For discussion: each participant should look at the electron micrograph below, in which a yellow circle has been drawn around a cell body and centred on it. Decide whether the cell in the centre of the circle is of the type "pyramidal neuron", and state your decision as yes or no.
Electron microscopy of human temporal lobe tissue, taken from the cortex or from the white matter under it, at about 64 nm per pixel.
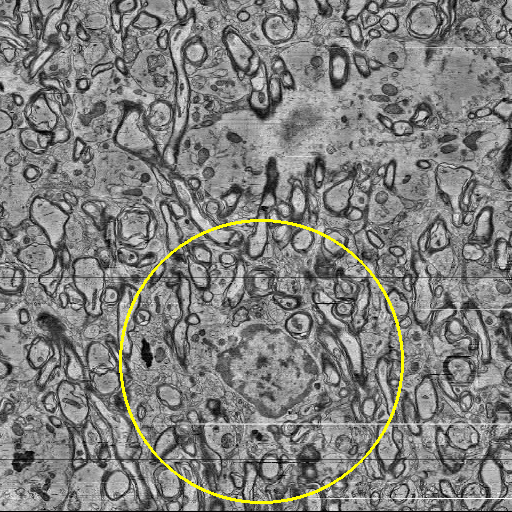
no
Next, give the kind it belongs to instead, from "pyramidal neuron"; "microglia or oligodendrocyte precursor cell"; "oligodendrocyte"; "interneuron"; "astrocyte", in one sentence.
This picture has a microglial cell or oligodendrocyte precursor cell at the centre of its ring.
